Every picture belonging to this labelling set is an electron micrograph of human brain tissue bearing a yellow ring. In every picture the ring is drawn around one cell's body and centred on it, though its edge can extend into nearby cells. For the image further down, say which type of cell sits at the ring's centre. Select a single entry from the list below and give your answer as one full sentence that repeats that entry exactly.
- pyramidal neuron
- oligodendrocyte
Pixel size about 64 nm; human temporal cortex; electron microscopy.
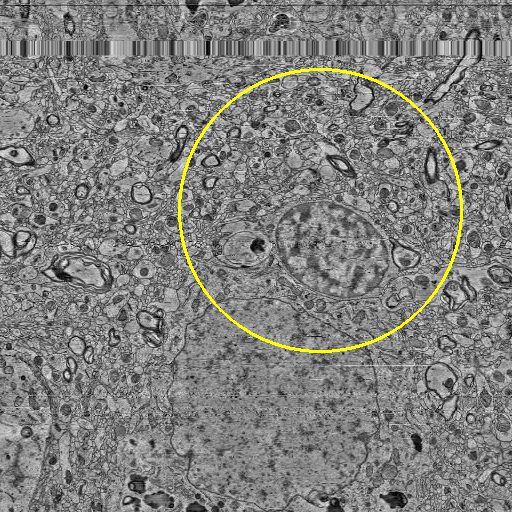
In the picture, an oligodendrocyte is the cell at the centre of the yellow ring.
